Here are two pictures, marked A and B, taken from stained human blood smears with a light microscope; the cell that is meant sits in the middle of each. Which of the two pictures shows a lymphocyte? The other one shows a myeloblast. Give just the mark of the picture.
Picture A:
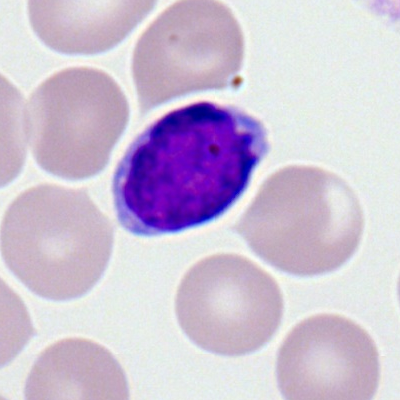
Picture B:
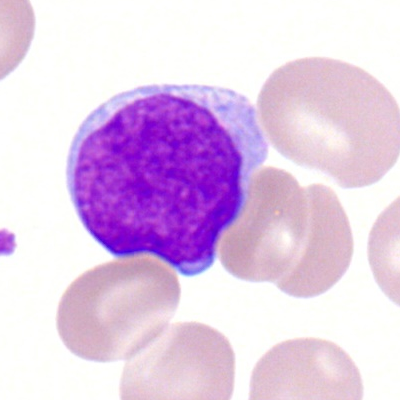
A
